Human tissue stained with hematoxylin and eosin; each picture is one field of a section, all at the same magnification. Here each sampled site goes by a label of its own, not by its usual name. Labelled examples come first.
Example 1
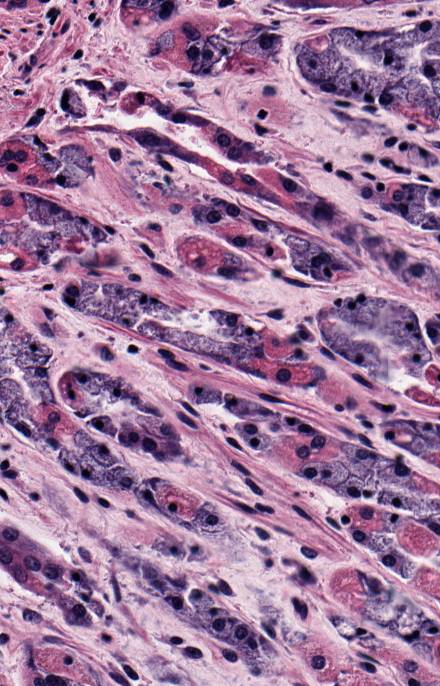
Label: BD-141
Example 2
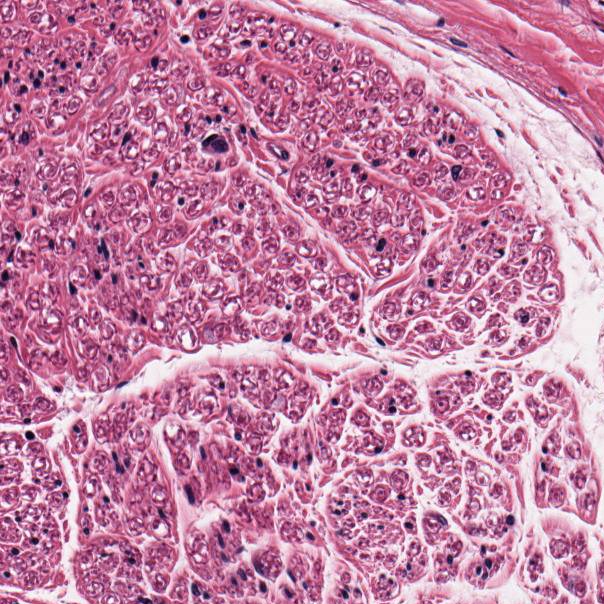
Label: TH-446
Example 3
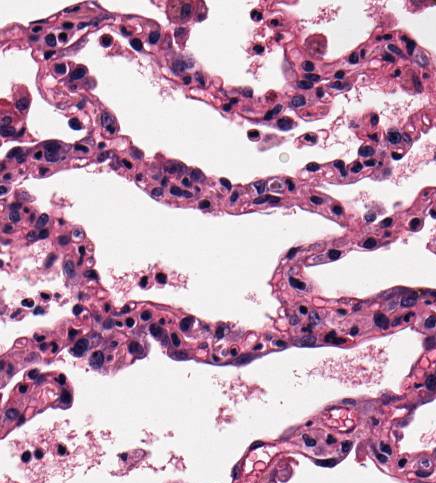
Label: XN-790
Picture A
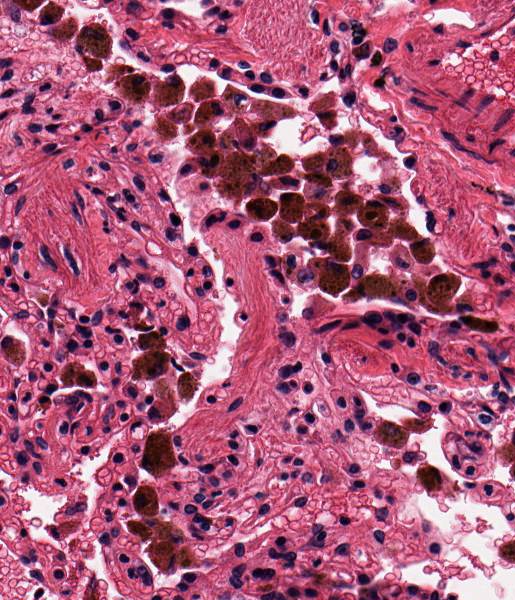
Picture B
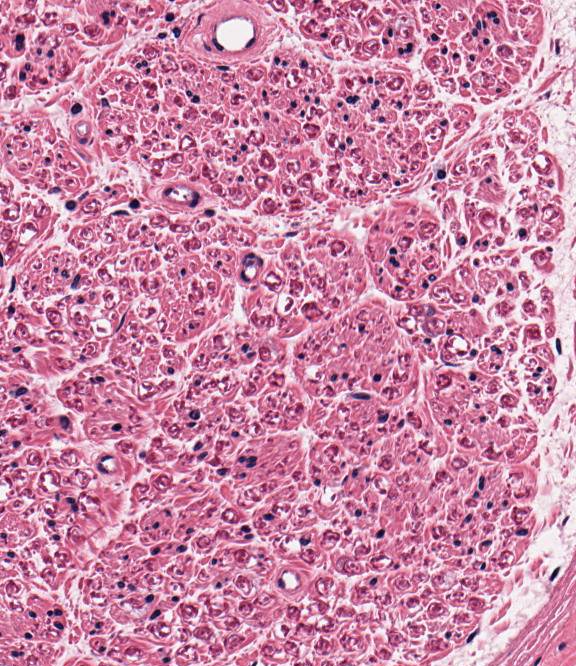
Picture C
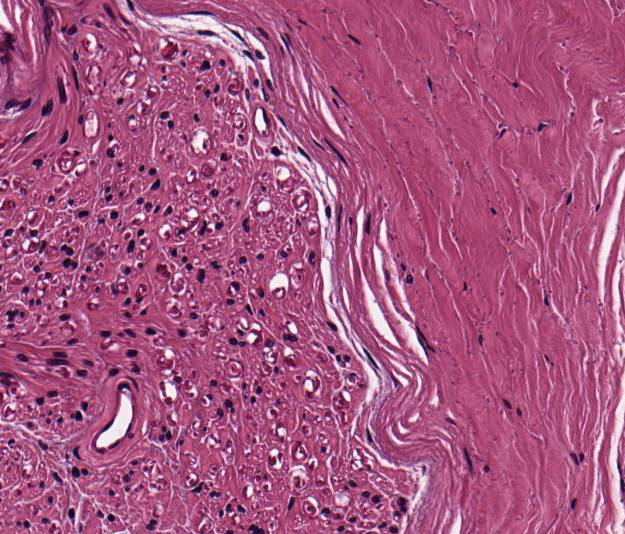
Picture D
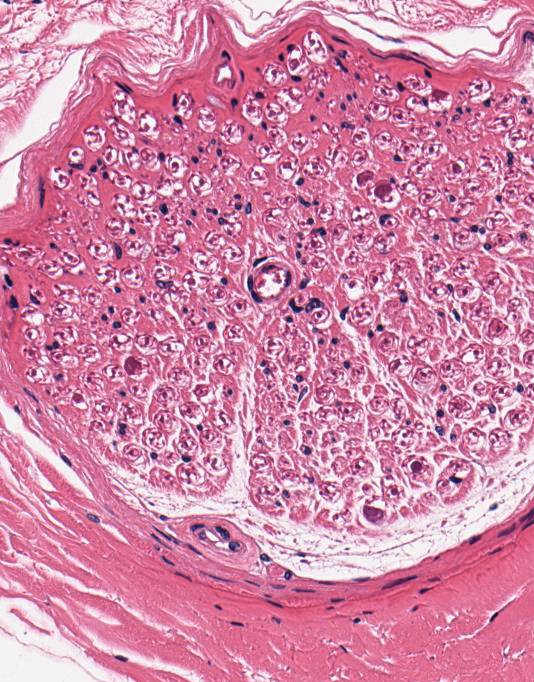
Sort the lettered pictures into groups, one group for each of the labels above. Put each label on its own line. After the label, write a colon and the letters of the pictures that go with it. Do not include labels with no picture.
TH-446: B, C, D
XN-790: A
